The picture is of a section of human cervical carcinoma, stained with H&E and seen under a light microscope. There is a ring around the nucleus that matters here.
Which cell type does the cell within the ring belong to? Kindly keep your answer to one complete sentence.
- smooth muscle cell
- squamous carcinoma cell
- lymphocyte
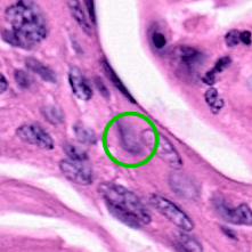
In the tissue at hand, the cell within the ring is a squamous carcinoma cell.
